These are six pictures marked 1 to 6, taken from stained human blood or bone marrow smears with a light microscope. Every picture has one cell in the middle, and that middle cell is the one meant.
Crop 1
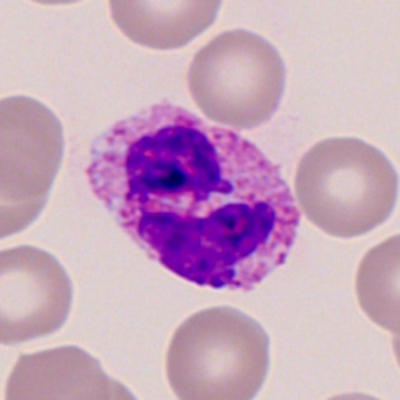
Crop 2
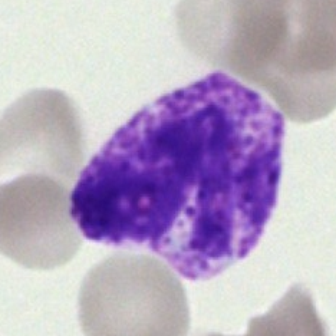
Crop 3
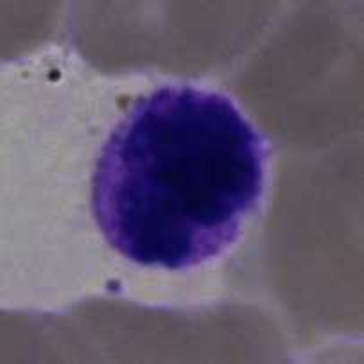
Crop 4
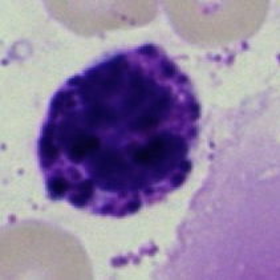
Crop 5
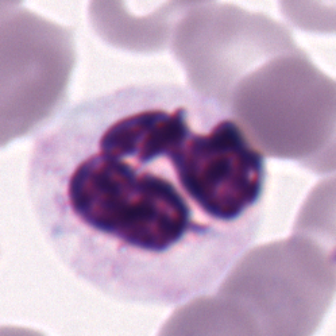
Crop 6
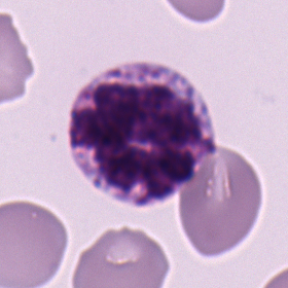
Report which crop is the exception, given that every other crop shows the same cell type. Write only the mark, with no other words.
5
